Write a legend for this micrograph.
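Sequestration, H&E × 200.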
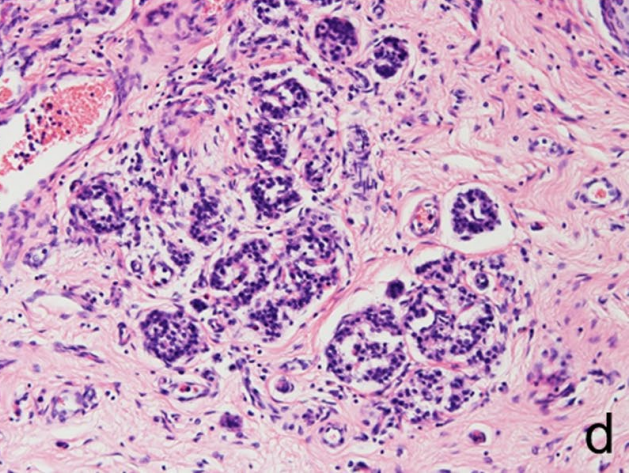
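This is glandular tissue made of small rounded clusters of epithelial cells, grouped into loose lobules. The clusters sit in pink, fibrous connective tissue with scattered spindle-shaped nuclei. A blood vessel filled with red blood cells lies at the upper left, and small vessels run between the lobules.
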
